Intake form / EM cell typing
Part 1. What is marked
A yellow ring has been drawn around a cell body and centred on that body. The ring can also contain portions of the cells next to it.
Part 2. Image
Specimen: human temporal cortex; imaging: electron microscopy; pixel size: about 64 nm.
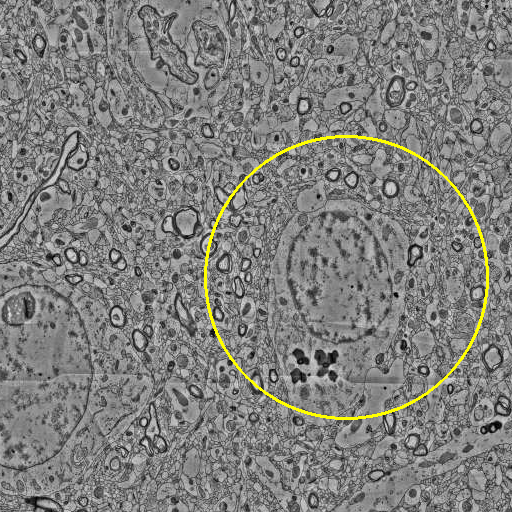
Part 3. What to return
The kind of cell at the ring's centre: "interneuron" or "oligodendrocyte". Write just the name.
interneuron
